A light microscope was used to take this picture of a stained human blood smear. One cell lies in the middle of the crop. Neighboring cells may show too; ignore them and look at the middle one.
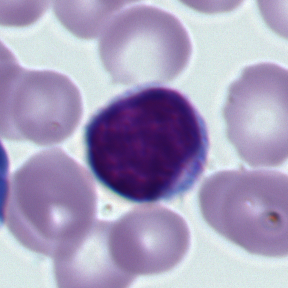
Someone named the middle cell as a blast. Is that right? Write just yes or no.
no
